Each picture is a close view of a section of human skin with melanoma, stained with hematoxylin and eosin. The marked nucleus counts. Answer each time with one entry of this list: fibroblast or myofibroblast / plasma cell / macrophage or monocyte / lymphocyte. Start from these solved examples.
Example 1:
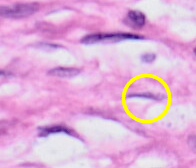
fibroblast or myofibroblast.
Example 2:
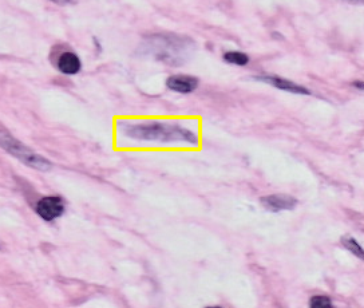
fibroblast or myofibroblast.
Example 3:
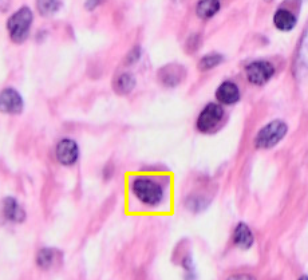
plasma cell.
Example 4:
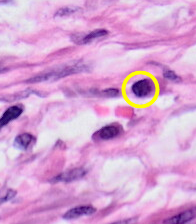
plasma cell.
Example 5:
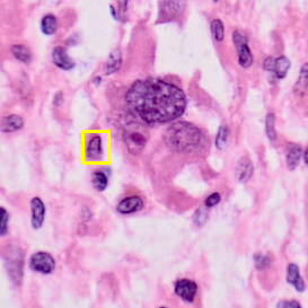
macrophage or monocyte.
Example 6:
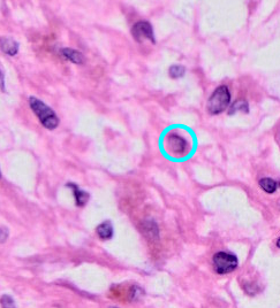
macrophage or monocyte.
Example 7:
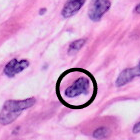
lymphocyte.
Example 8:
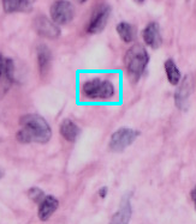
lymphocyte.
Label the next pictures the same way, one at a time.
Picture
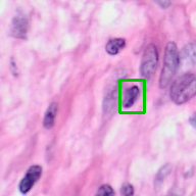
lymphocyte.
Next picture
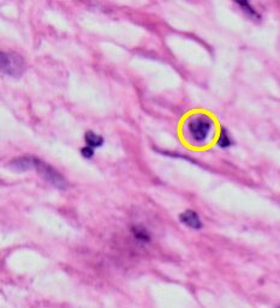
lymphocyte.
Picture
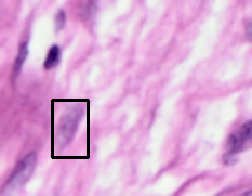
fibroblast or myofibroblast.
